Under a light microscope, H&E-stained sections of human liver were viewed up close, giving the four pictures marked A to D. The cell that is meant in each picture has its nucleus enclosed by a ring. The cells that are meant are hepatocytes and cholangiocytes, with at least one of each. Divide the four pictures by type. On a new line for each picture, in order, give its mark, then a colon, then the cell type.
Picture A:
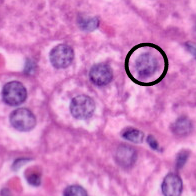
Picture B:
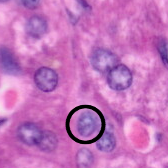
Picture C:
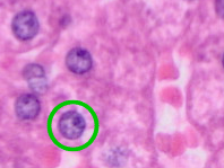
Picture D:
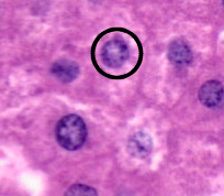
A: hepatocyte
B: cholangiocyte
C: hepatocyte
D: hepatocyte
